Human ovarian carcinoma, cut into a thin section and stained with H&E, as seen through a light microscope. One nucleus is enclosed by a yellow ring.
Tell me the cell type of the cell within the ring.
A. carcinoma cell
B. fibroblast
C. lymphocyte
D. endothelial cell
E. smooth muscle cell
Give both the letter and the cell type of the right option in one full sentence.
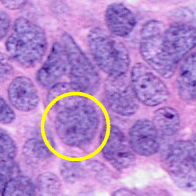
Option A gets it right, as the cell within the ring is a carcinoma cell.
